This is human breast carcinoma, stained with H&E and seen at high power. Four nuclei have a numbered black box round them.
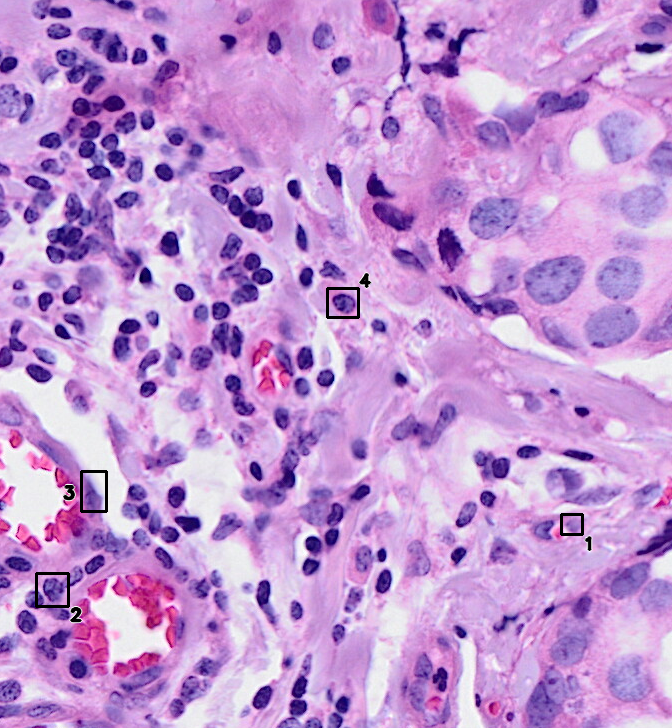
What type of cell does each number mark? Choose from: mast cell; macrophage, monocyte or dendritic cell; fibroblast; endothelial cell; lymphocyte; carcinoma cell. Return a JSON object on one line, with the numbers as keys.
{"1": "endothelial cell", "2": "lymphocyte", "3": "endothelial cell", "4": "mast cell"}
